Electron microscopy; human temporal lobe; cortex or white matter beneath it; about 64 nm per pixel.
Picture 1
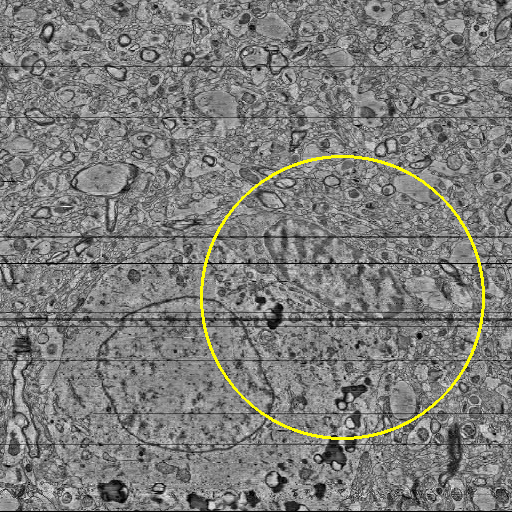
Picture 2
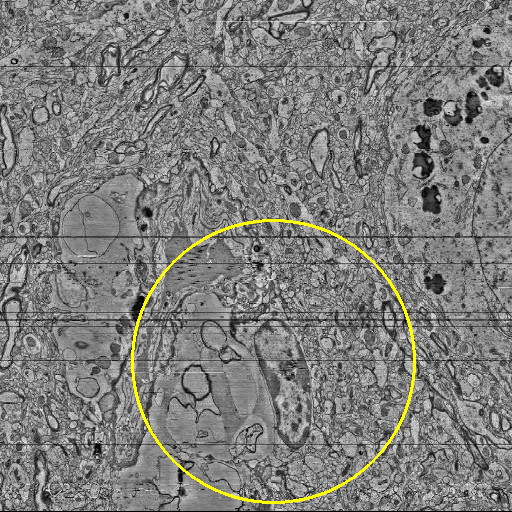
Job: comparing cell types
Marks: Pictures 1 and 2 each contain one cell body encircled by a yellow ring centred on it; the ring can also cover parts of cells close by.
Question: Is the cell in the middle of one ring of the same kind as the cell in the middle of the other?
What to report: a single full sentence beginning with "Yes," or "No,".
No, the cell at the ring centre in Picture 1 and its partner in Picture 2 are of two kinds.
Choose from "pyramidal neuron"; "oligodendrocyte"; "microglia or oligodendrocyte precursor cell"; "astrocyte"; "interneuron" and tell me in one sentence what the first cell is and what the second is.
What the first ring is centred on is an oligodendrocyte; what the second ring is centred on is a microglial cell or oligodendrocyte precursor cell.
